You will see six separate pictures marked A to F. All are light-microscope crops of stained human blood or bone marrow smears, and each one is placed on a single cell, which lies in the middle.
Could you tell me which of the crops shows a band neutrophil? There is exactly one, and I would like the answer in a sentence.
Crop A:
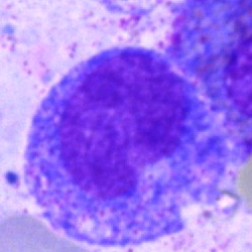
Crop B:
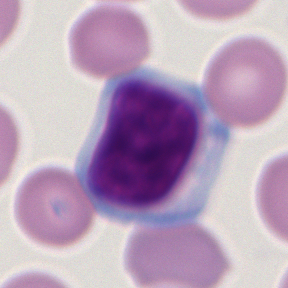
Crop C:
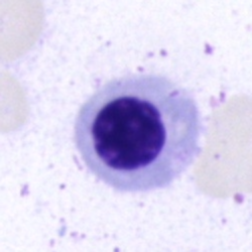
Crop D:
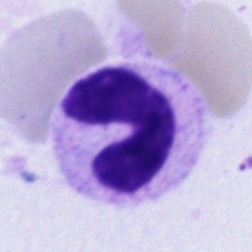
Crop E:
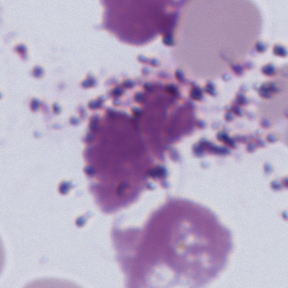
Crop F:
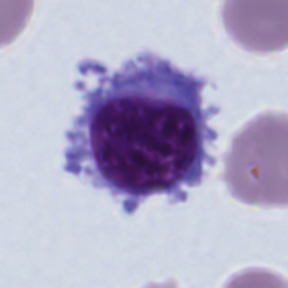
The one showing a band neutrophil is the crop labelled D.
